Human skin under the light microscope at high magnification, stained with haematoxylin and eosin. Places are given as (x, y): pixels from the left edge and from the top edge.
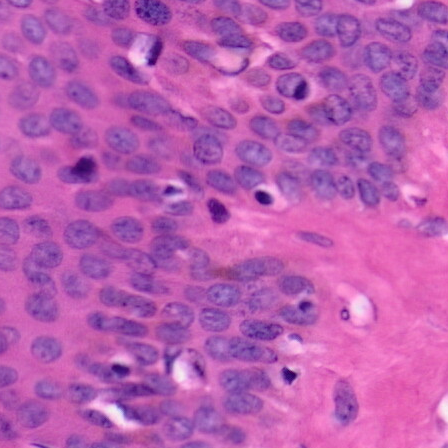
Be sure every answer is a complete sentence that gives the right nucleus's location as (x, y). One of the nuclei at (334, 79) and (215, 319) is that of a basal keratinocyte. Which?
Between the two nuclei, the one sitting at (334, 79) belongs to a basal keratinocyte.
